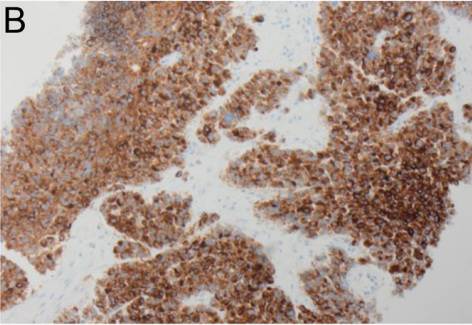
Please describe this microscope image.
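Tumour composed of sheets of cells forming large nests and irregular islands separated by thin strands of pale fibrous stroma. The tumour cells are closely packed, with round to oval nuclei and moderate cytoplasm. Nearly all tumour cells show strong, diffuse brown staining of the cytoplasm. The intervening stroma contains sparse spindle-shaped cells with blue nuclei and no brown colour. A small area at the upper left is paler, with a bluish tinge.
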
